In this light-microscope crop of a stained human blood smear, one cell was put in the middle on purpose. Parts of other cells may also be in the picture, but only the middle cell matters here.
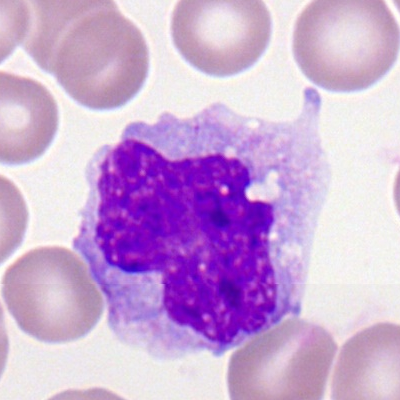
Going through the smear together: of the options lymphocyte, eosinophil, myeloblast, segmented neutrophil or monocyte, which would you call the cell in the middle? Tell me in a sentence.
On this slide crop, the central cell is a monocyte.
